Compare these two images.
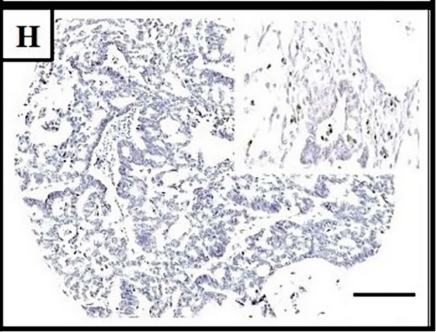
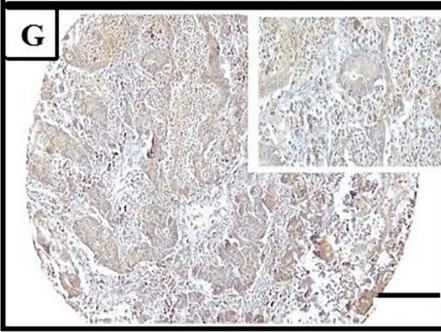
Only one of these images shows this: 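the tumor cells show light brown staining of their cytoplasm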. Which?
The second image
